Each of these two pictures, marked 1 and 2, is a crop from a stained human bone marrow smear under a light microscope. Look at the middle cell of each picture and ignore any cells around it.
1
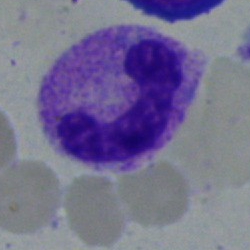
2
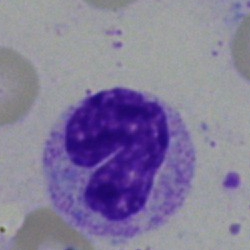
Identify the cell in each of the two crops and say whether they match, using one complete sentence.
Yes, the central cells of both crops are band neutrophils.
